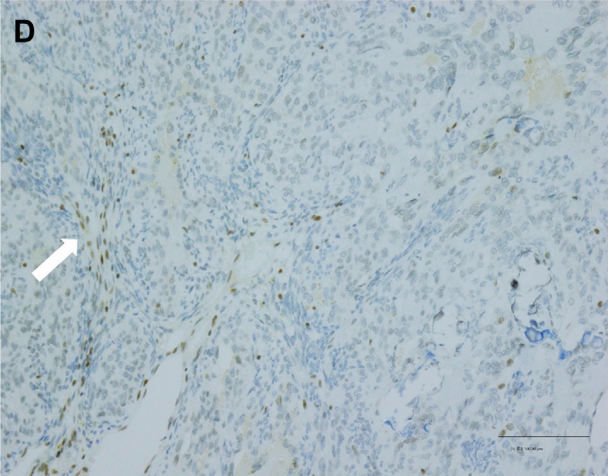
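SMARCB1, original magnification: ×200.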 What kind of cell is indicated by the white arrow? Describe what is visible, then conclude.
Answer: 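The arrow points to a thin streak of cells with brown nuclei. Most surrounding tumor nuclei are blue and lack brown staining. That points to this answer: normal cells.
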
